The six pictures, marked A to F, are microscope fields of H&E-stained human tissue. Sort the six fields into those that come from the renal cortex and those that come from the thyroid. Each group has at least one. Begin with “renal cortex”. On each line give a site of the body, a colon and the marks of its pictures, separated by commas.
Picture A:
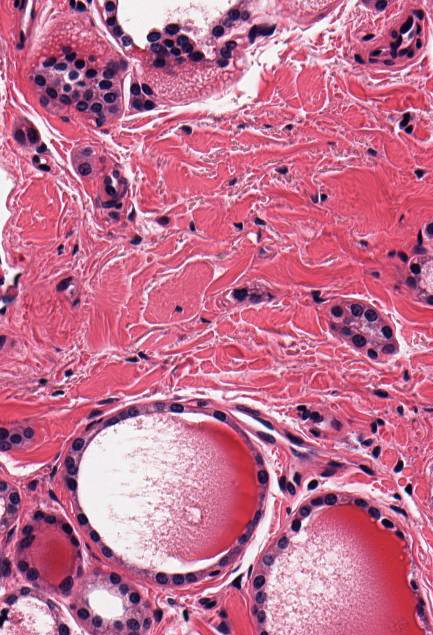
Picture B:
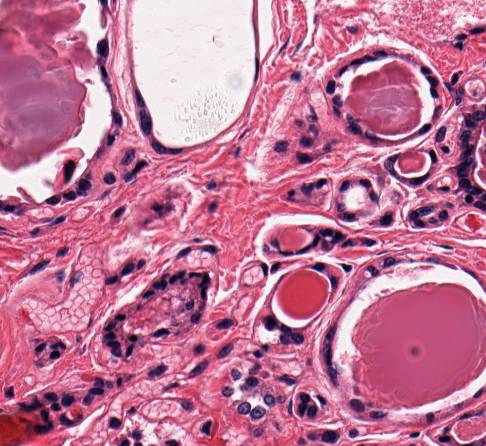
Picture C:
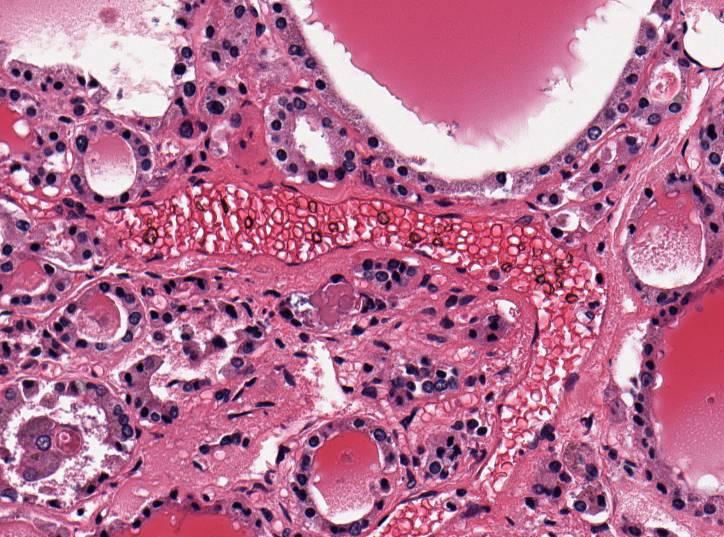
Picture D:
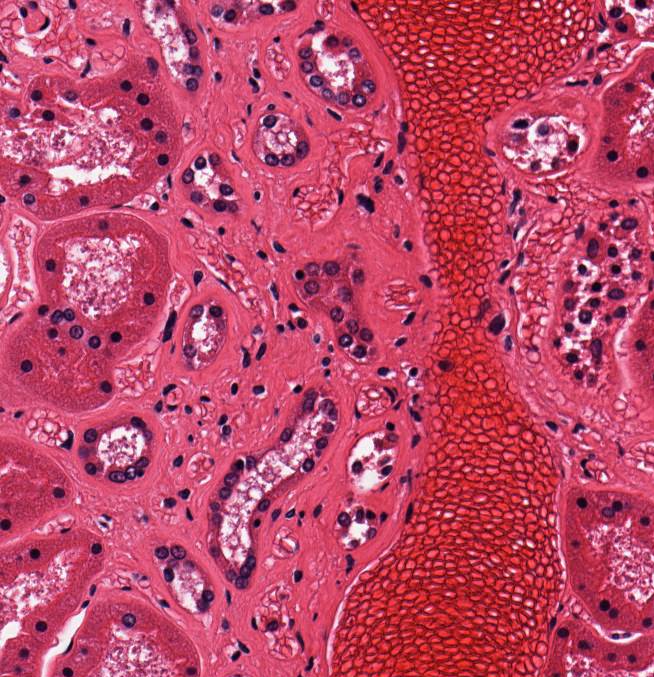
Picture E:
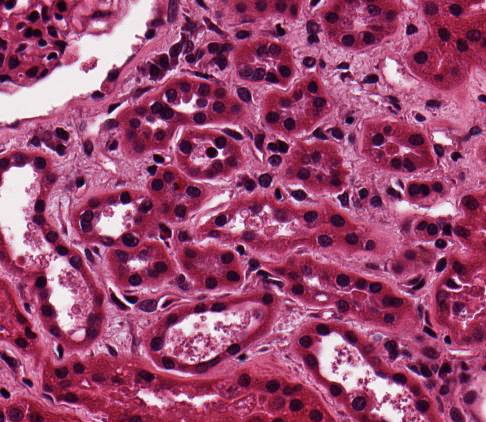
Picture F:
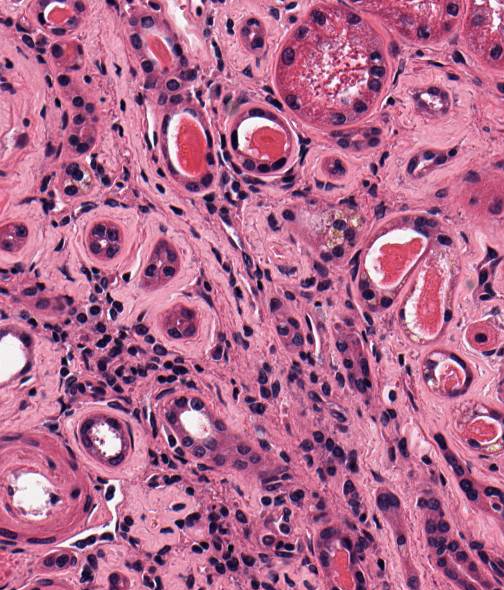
renal cortex: D, E, F
thyroid: A, B, C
